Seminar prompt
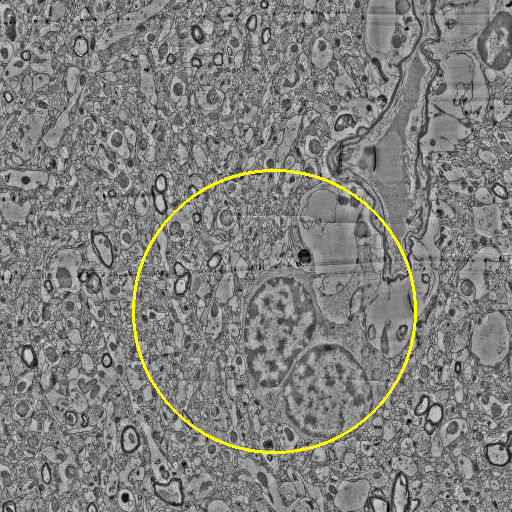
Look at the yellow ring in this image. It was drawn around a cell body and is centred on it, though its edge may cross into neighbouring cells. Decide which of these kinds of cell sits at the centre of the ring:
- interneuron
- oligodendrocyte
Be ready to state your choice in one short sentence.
The kind of cell at the ring's centre is an oligodendrocyte.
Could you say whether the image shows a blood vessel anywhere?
Yes.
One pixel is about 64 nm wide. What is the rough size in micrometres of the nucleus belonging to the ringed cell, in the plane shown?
The nucleus appears roughly 7 by 4 micrometres in this plane.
